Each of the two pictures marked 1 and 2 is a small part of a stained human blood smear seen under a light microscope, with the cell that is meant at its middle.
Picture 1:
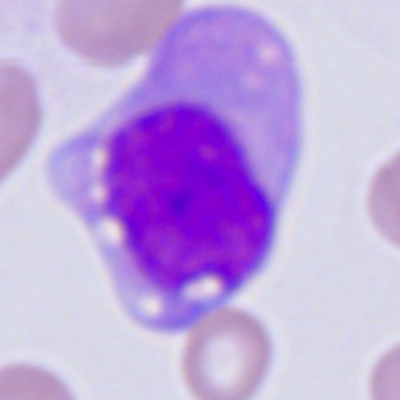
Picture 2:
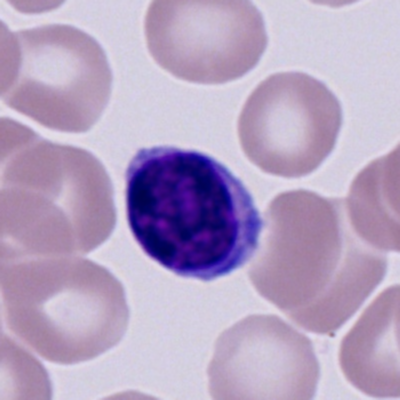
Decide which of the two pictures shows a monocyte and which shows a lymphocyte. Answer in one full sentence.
In picture 1 the cell is a monocyte; in picture 2, a lymphocyte.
